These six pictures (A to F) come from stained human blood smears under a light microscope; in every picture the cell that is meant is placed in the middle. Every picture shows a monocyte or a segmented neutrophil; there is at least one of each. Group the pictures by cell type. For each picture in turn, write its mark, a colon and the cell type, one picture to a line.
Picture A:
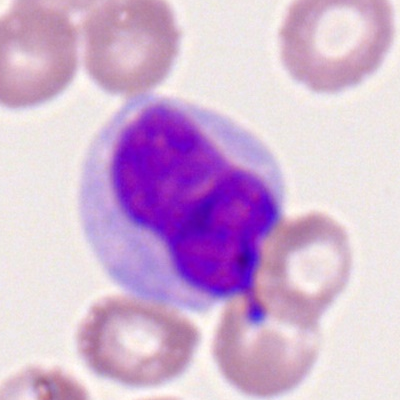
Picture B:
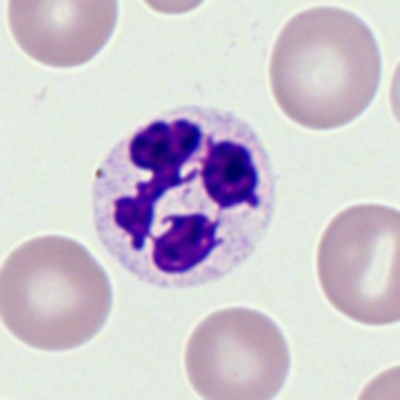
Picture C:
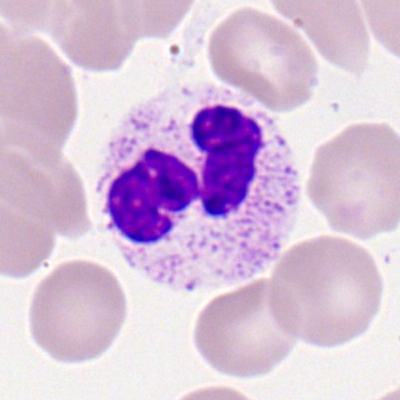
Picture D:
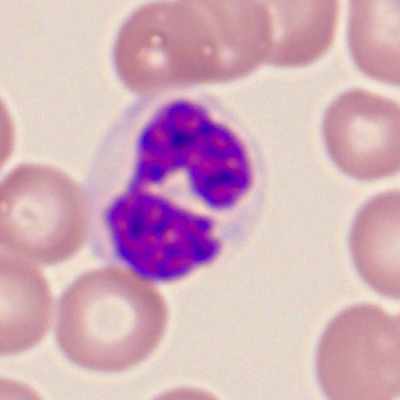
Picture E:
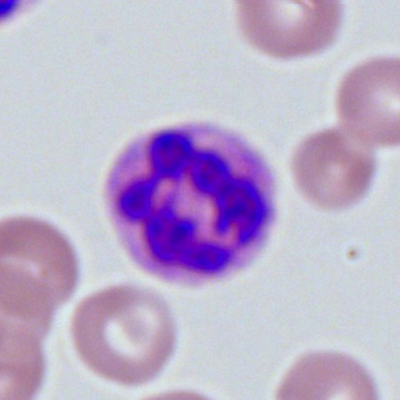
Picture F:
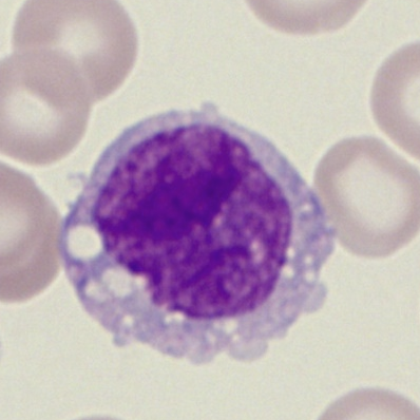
A: monocyte
B: segmented neutrophil
C: segmented neutrophil
D: segmented neutrophil
E: segmented neutrophil
F: monocyte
